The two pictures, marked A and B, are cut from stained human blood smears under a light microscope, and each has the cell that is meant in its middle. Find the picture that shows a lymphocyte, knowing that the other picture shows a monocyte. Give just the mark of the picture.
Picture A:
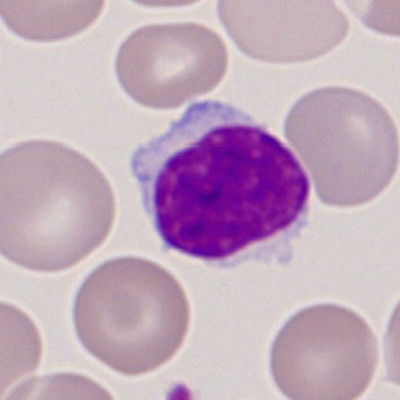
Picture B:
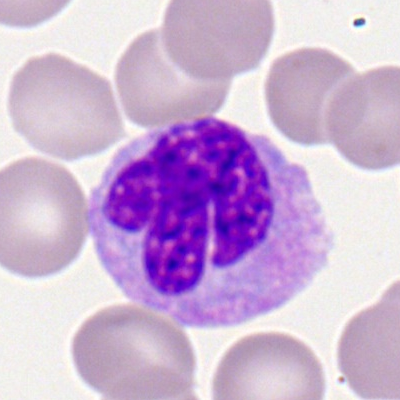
A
